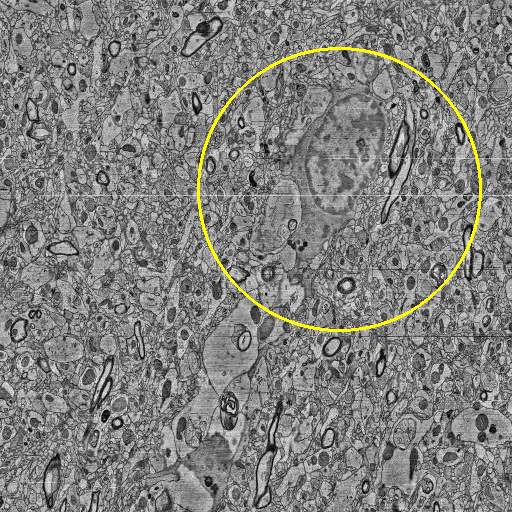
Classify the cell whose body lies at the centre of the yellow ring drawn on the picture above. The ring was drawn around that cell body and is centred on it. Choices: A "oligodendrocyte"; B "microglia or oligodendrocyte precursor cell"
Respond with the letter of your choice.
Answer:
A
